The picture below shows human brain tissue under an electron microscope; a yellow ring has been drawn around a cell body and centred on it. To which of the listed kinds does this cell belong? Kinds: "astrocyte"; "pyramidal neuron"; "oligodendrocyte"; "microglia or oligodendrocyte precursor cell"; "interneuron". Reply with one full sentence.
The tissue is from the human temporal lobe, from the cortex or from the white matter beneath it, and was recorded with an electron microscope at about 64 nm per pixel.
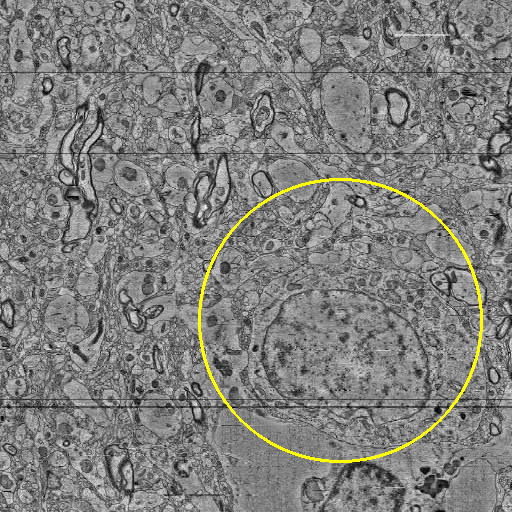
It is an interneuron that the yellow ring in the picture is centred on.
